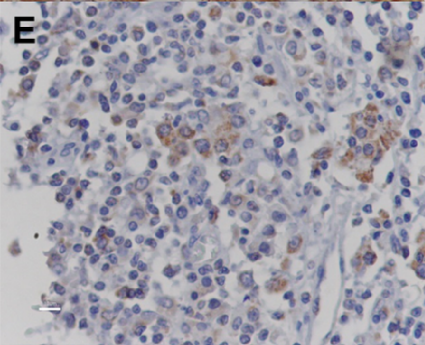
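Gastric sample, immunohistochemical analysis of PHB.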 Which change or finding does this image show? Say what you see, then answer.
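Loosely arranged rounded cells with no gland formation. Cells lie singly or in small clusters. So: poorly differentiated tumor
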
